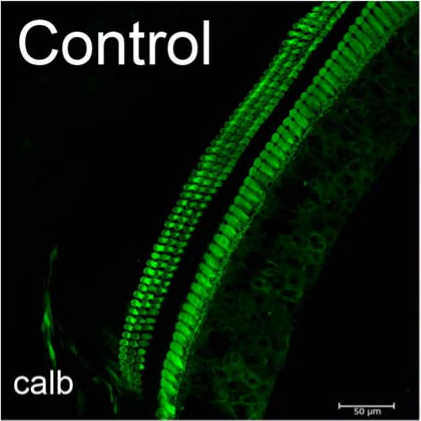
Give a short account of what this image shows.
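This is a surface view of the sensory epithelium of the organ of Corti, with the hair cells lit up in green. Three parallel rows of outer hair cells run diagonally across the field, their rounded cell bodies packed in neat, evenly spaced lines. A dark gap separates them from a single row of inner hair cells lying alongside. Beyond the hair cells, the surrounding epithelium is only faintly stained, with polygonal cell outlines just visible.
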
